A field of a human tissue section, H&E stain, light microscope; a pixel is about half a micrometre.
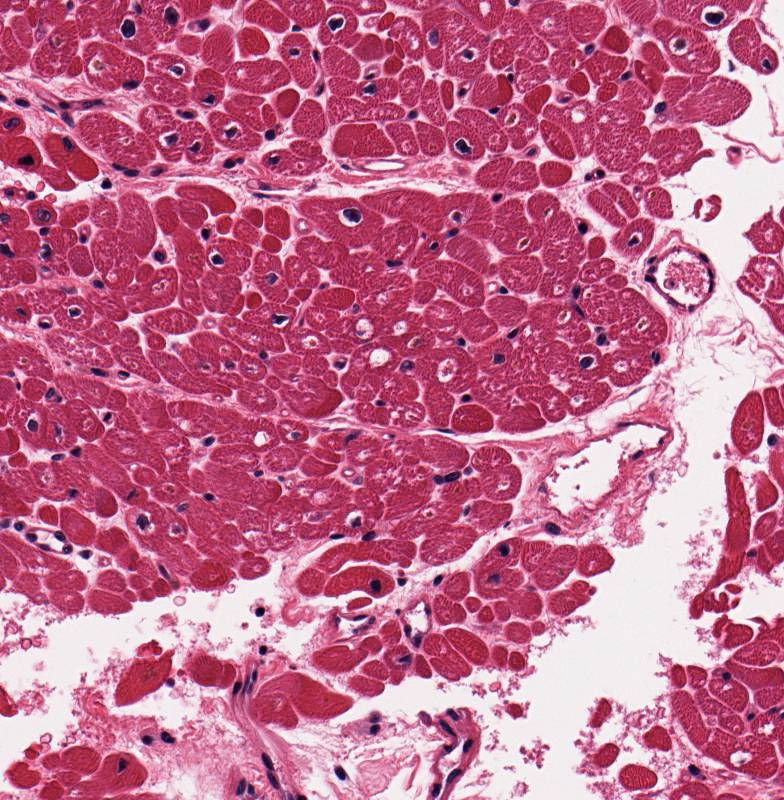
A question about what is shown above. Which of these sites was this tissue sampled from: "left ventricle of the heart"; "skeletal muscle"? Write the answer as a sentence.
The site this tissue was sampled from is the left ventricle of the heart.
